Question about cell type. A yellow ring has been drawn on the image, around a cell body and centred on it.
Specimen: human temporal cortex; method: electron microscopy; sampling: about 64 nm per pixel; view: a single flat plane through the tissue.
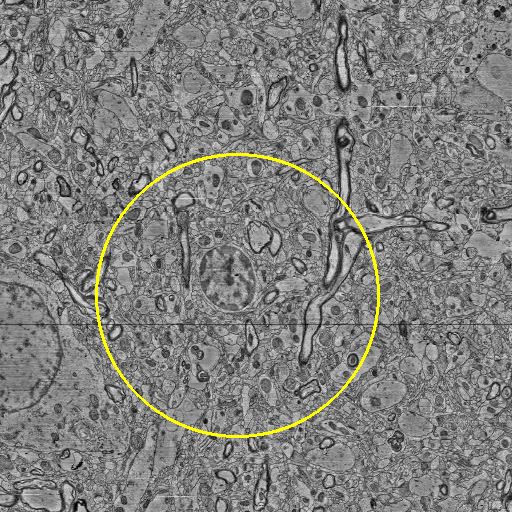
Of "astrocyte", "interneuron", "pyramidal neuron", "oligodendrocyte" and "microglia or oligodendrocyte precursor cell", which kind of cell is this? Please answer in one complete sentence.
At the centre of the ring lies a microglial cell or oligodendrocyte precursor cell.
